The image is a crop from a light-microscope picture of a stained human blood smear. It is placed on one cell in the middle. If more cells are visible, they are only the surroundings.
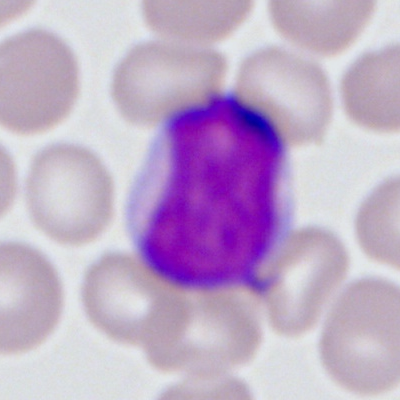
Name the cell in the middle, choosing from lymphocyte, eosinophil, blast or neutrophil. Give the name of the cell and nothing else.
blast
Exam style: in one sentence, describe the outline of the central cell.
Projections or ragged segments give this cell an irregular rather than smooth border.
